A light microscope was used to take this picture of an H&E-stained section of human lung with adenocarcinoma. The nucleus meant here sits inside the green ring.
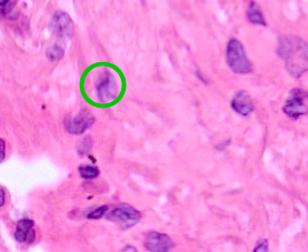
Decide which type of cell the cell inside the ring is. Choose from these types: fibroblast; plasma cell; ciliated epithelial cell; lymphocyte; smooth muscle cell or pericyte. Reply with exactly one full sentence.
What the cell inside the ring represents is a fibroblast.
